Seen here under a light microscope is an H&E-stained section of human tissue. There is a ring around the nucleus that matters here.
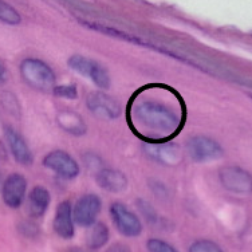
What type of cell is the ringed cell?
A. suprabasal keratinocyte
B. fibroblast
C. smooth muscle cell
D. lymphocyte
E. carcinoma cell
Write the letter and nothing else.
A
